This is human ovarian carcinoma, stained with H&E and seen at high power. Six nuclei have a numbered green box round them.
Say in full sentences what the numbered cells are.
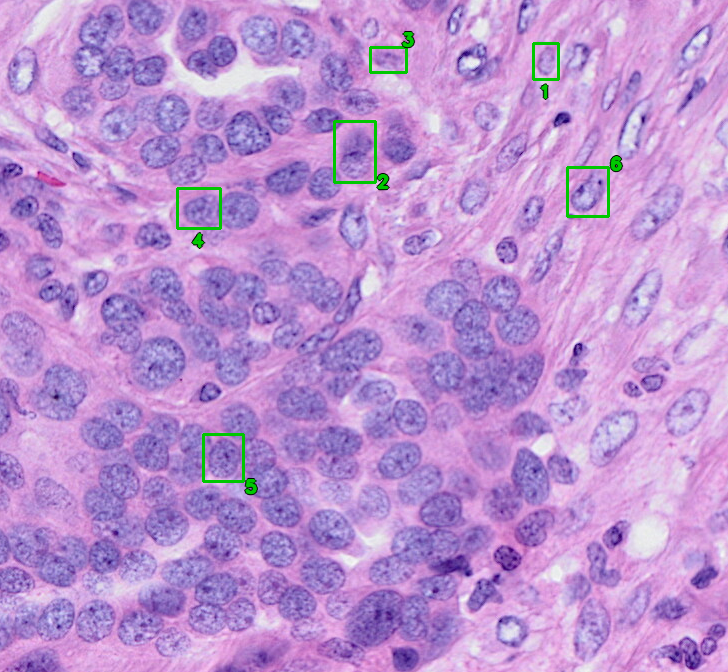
Cell 1 is a fibroblast, cell 2 is a carcinoma cell, cell 3 is a fibroblast, cell 4 is a carcinoma cell, cell 5 is a carcinoma cell and cell 6 is a fibroblast.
